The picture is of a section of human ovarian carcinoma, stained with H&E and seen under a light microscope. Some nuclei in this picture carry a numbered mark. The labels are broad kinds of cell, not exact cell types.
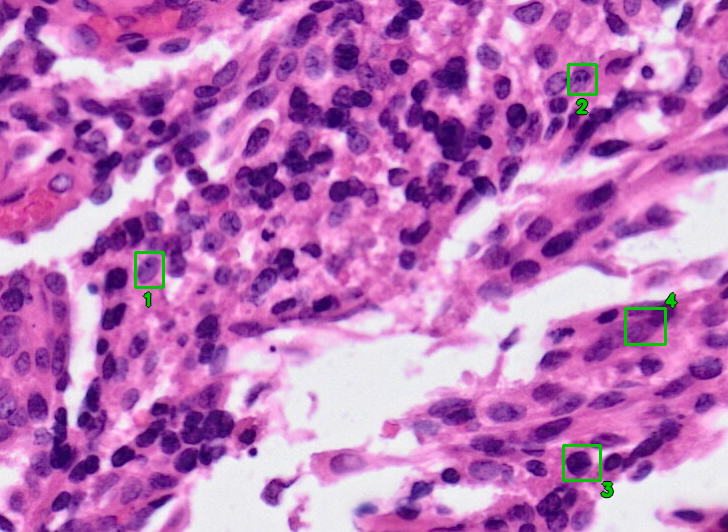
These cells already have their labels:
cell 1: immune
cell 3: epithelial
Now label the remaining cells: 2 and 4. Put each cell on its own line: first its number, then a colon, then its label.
2: immune
4: epithelial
